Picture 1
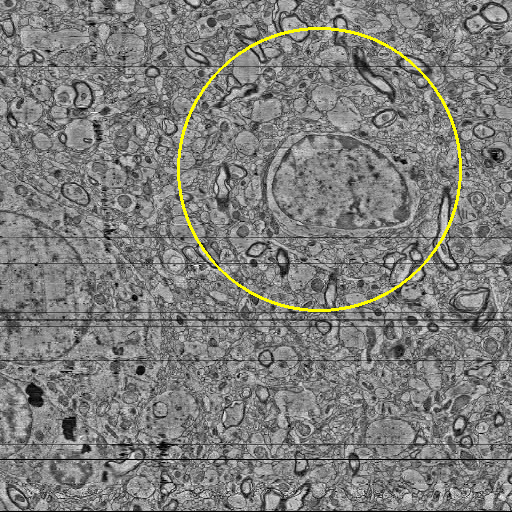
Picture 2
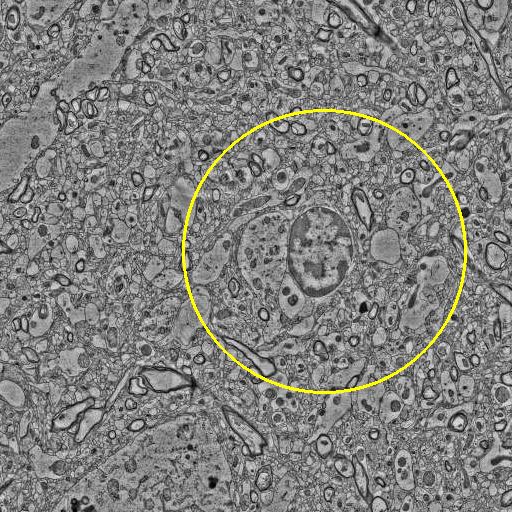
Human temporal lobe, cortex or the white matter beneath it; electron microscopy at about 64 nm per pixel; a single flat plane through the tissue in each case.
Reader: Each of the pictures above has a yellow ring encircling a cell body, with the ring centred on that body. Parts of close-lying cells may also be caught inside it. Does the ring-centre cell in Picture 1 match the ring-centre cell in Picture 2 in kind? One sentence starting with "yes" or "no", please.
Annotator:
Yes, Picture 1 and Picture 2 show ring-centre cells of a single kind.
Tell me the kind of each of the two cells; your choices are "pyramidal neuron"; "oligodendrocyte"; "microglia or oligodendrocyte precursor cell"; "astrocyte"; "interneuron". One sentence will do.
Each of the two pictures has a microglial cell or oligodendrocyte precursor cell at the ring centre.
